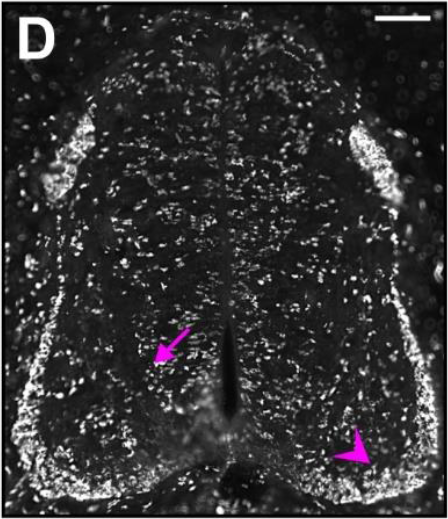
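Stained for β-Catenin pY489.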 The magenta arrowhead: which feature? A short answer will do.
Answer: post-crossing axons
